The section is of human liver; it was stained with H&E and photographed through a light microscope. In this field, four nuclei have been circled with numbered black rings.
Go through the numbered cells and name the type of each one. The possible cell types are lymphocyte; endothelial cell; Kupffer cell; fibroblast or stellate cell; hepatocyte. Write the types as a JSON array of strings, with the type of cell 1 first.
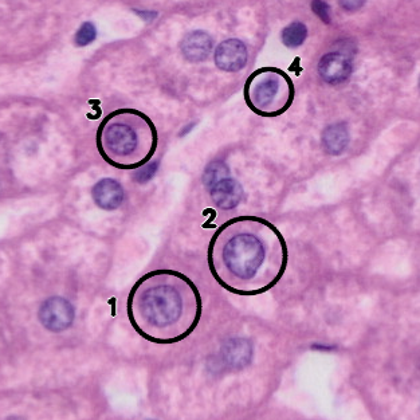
["hepatocyte", "hepatocyte", "hepatocyte", "Kupffer cell"]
